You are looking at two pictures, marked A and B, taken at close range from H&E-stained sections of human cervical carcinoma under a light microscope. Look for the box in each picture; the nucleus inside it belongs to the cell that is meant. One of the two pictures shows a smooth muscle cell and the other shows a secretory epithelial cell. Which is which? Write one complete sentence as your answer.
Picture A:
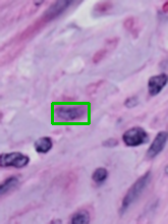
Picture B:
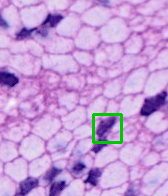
Picture A shows a smooth muscle cell and picture B shows a secretory epithelial cell.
